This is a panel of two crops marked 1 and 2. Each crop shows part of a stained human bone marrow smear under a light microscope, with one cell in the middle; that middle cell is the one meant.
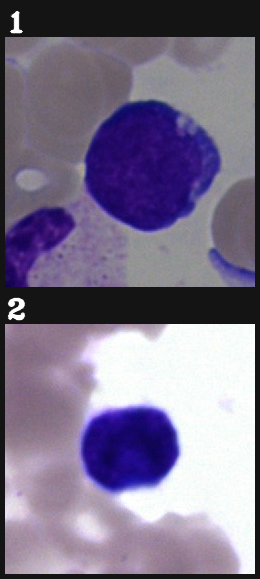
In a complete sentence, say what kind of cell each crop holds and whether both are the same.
No, crop 1 matches a blast and crop 2 matches a lymphocyte.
